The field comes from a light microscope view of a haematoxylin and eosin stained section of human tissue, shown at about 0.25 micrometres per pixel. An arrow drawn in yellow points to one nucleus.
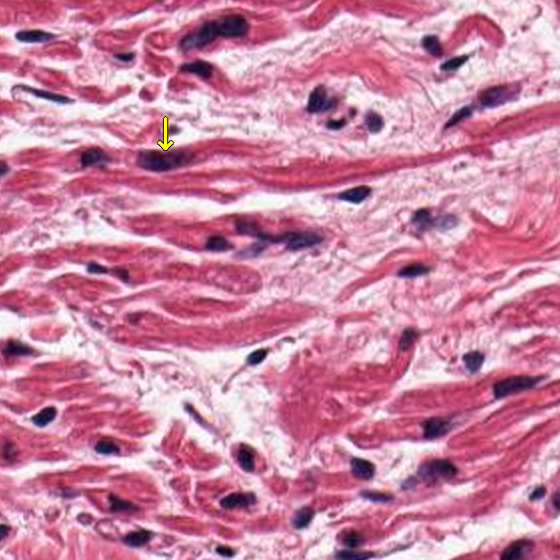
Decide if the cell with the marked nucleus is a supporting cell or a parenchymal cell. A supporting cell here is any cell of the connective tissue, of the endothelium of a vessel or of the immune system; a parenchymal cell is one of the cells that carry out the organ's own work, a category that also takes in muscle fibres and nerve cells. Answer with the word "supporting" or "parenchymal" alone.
parenchymal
